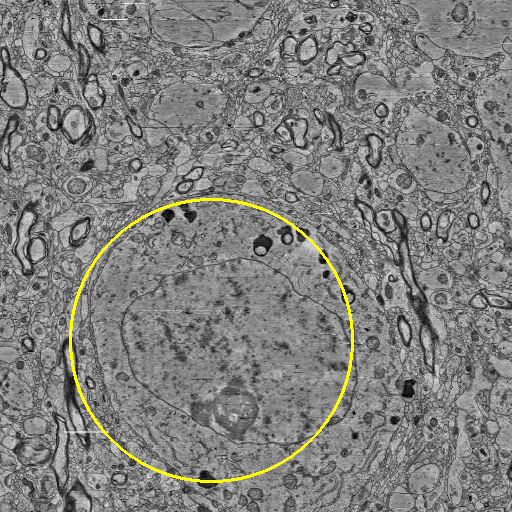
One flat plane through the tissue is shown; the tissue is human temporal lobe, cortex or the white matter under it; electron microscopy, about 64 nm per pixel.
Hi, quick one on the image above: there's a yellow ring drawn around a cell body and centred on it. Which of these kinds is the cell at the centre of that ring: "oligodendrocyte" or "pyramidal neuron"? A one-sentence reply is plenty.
The cell at the centre of the ring is a pyramidal neuron.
